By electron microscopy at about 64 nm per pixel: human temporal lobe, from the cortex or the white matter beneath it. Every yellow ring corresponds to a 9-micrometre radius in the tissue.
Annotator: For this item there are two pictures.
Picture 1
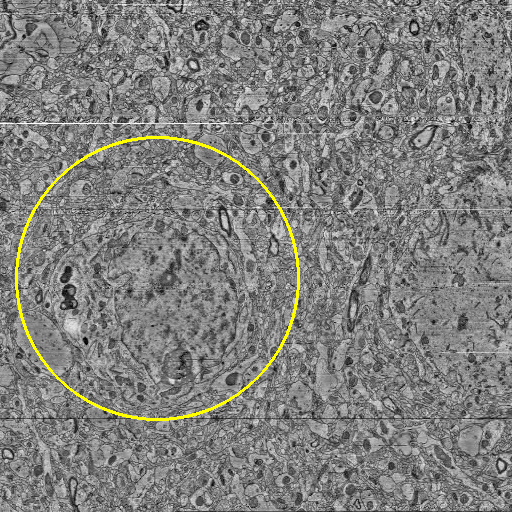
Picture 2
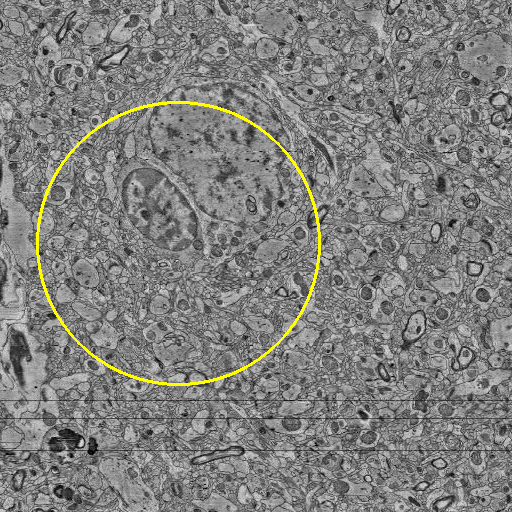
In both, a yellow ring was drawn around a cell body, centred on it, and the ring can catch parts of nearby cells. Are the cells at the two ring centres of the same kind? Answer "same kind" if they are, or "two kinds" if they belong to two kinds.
two kinds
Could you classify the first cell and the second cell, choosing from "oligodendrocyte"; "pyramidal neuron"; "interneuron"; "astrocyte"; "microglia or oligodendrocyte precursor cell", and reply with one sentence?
The second cell is an oligodendrocyte, while the first is an interneuron.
